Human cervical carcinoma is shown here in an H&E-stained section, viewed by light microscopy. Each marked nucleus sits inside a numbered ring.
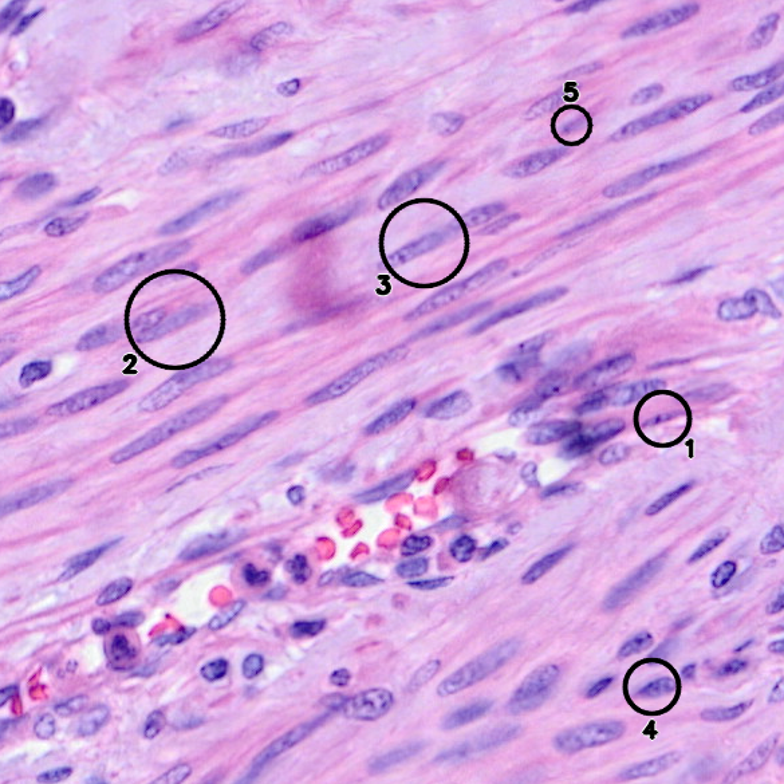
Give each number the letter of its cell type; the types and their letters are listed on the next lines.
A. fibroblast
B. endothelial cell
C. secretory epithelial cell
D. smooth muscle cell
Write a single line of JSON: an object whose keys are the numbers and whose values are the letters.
{"1": "B", "2": "D", "3": "D", "4": "A", "5": "D"}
